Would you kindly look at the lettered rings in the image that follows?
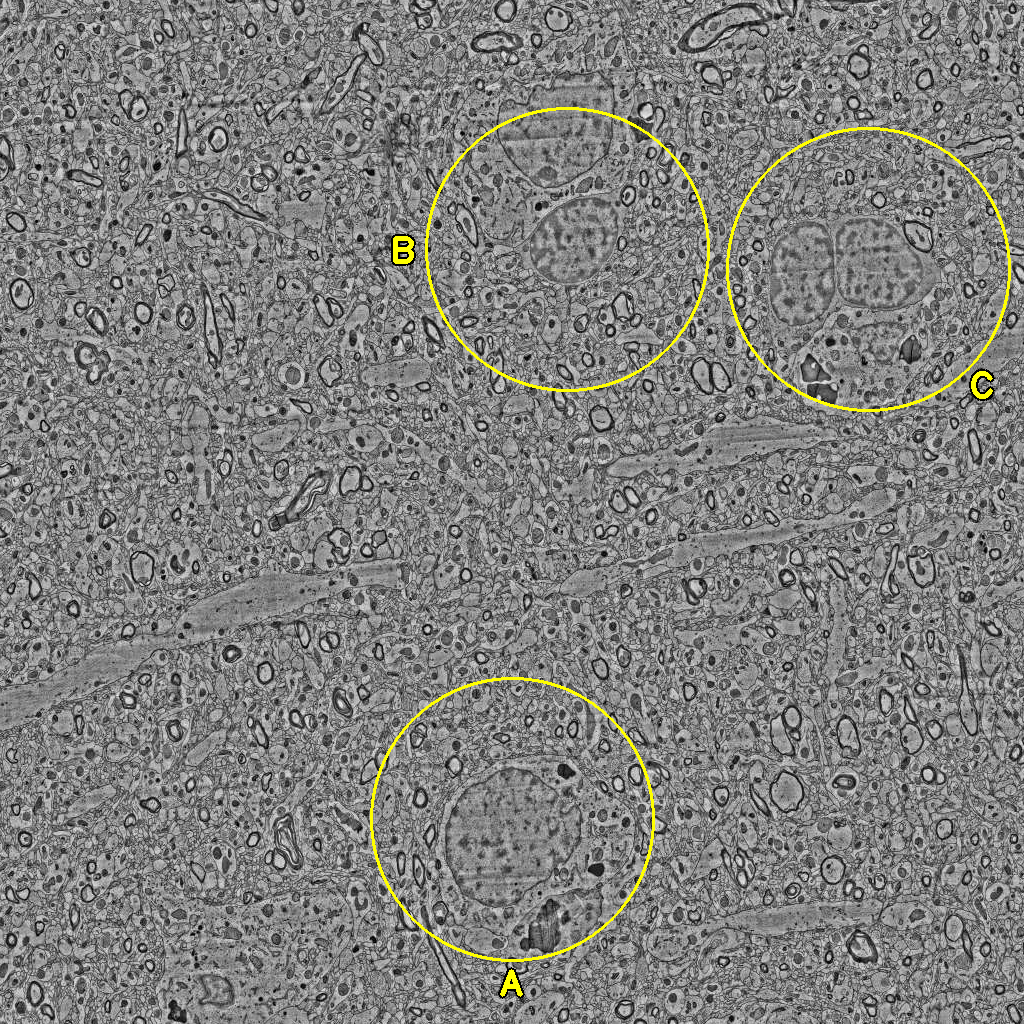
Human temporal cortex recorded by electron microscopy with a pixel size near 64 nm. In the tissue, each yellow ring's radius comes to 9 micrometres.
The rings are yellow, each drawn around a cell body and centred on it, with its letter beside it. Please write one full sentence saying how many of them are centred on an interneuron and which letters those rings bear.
Only one ring is centred on an interneuron in the micrograph, and it is ring A.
